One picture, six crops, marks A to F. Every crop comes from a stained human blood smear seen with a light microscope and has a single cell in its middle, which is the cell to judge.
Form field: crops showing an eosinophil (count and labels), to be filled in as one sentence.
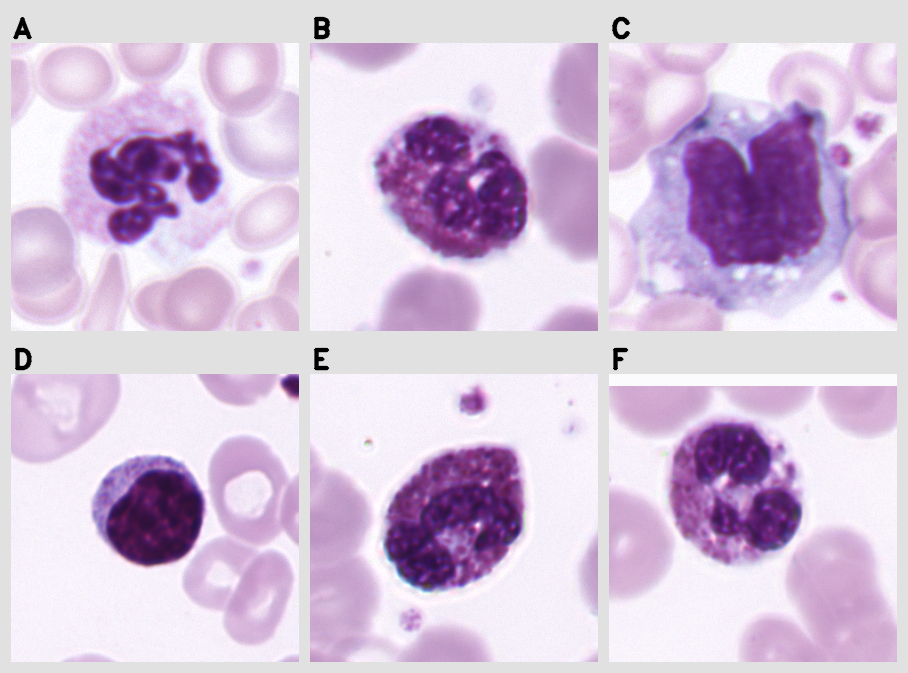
There are three crops with eosinophils: B, E and F.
